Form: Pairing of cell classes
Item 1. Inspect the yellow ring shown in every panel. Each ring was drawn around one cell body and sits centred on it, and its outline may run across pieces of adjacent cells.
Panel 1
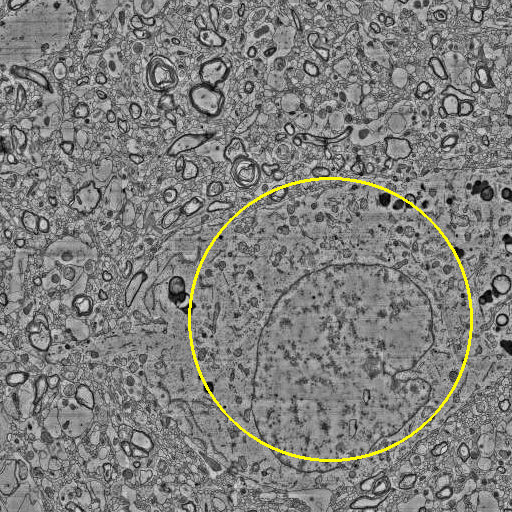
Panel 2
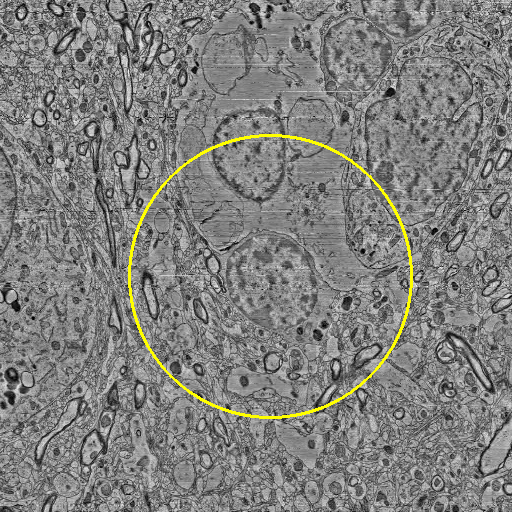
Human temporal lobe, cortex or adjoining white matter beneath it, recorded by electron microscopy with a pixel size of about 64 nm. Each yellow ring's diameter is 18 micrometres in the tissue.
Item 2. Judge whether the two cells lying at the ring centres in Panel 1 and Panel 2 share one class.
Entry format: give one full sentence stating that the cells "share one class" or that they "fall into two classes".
The cells at the ring centres in Panel 1 and Panel 2 fall into two classes.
